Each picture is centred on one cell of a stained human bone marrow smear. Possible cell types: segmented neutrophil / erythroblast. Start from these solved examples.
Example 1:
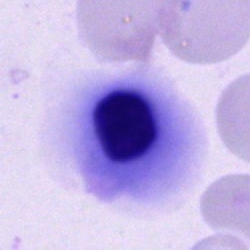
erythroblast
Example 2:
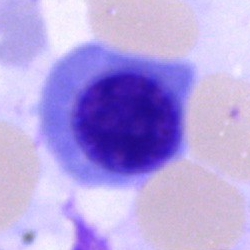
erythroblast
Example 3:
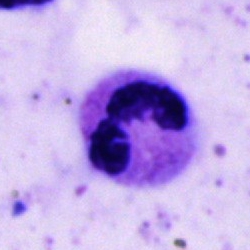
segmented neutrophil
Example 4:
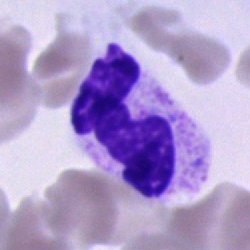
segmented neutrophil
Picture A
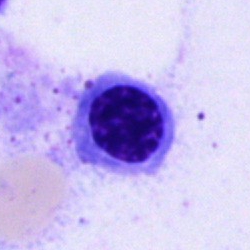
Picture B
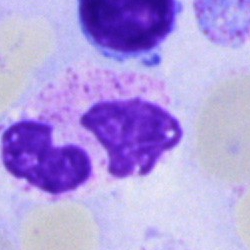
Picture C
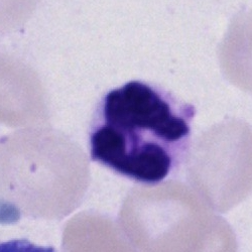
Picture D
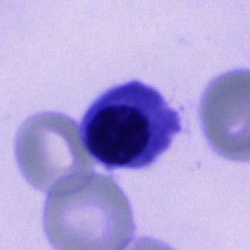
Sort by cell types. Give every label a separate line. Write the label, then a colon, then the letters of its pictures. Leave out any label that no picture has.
segmented neutrophil: B, C
erythroblast: A, D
